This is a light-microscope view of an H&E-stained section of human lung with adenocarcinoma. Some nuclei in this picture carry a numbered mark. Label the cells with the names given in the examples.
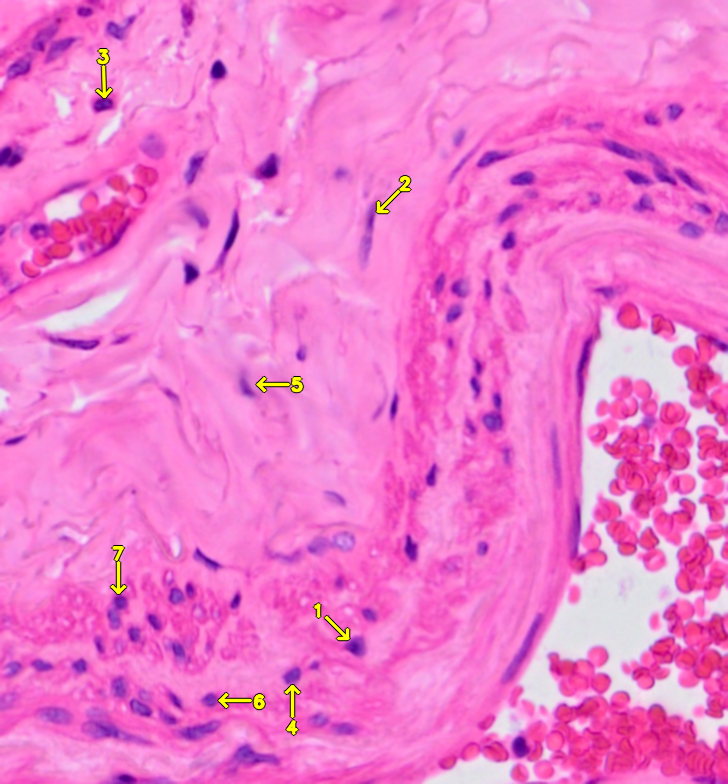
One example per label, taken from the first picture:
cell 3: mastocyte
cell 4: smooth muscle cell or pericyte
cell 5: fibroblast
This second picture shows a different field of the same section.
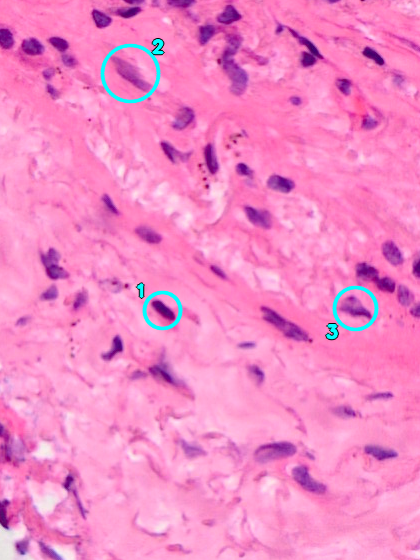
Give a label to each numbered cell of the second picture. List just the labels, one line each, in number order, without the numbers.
mastocyte
fibroblast
fibroblast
